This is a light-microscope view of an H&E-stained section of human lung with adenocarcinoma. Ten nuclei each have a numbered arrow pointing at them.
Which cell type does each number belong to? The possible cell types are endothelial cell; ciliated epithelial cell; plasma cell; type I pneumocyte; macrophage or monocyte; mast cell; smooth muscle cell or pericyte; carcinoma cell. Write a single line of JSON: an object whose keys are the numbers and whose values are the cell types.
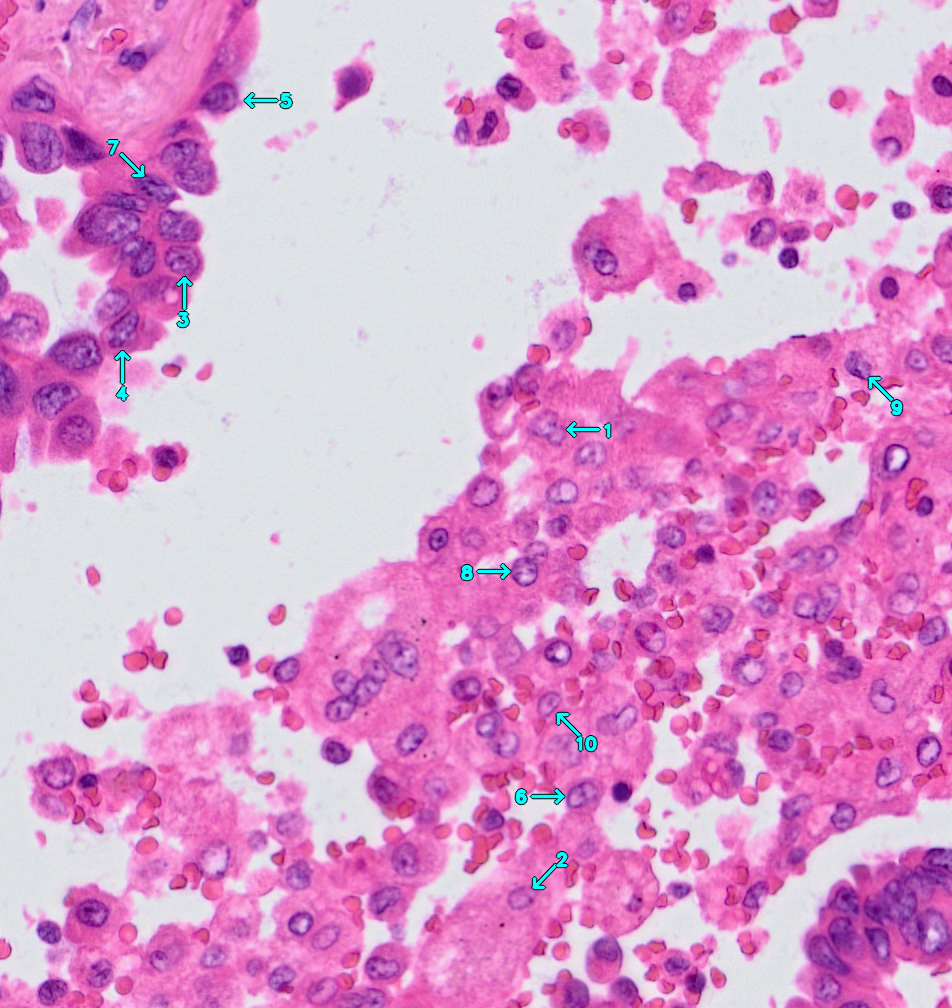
{"1": "macrophage or monocyte", "2": "macrophage or monocyte", "3": "carcinoma cell", "4": "carcinoma cell", "5": "carcinoma cell", "6": "macrophage or monocyte", "7": "carcinoma cell", "8": "macrophage or monocyte", "9": "macrophage or monocyte", "10": "macrophage or monocyte"}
